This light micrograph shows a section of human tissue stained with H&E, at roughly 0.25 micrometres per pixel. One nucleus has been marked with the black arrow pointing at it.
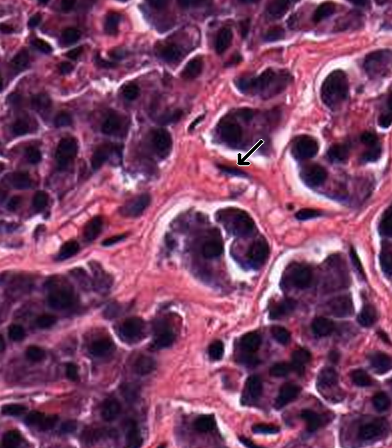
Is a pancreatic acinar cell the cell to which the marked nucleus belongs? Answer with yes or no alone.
no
